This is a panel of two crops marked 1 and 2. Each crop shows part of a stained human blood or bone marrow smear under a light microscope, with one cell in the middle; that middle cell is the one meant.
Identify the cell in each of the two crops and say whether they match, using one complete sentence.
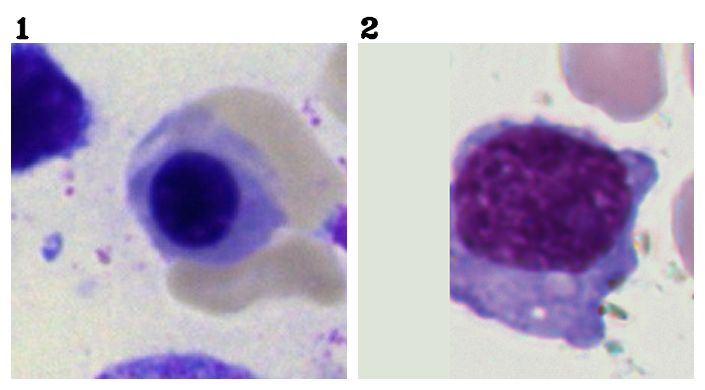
No, an erythroblast is what occupies crop 1, and a plasma cell is what occupies crop 2.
